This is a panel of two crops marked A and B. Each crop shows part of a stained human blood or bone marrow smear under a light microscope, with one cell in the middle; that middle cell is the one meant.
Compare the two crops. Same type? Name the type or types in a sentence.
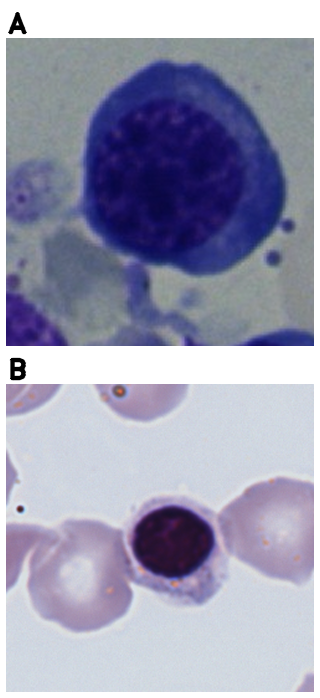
Yes, both crops show normoblasts, with no exception.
